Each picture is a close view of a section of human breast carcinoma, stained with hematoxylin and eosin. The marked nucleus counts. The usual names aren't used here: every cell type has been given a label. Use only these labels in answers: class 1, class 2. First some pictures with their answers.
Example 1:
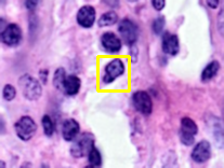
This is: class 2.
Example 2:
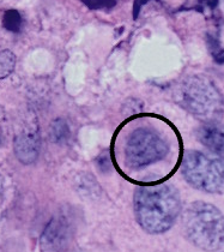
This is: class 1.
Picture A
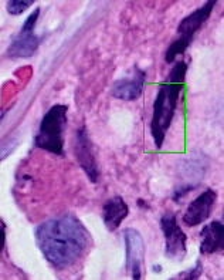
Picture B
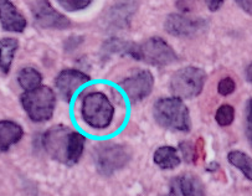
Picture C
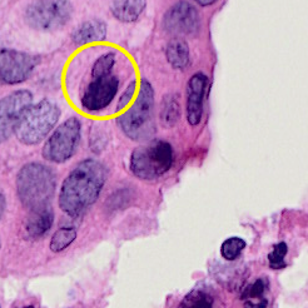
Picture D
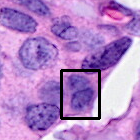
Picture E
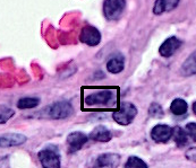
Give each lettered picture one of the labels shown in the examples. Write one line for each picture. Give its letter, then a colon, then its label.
A: class 1.
B: class 1.
C: class 1.
D: class 1.
E: class 2.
